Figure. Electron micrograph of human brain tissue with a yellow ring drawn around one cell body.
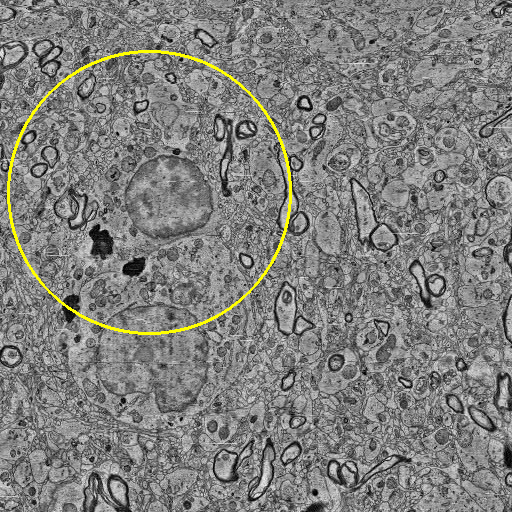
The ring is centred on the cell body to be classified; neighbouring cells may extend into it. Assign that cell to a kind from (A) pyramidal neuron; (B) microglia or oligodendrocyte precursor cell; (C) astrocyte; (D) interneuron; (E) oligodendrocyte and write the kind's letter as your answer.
E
